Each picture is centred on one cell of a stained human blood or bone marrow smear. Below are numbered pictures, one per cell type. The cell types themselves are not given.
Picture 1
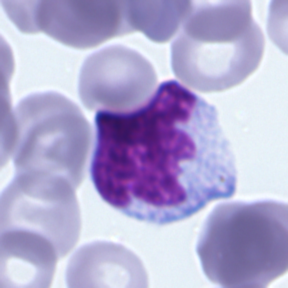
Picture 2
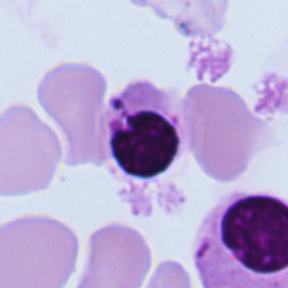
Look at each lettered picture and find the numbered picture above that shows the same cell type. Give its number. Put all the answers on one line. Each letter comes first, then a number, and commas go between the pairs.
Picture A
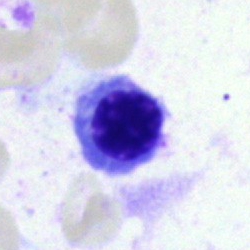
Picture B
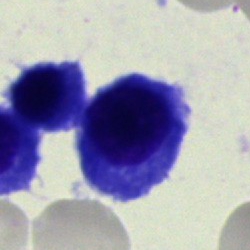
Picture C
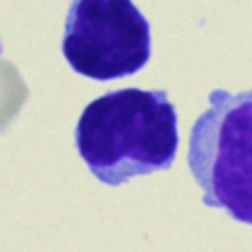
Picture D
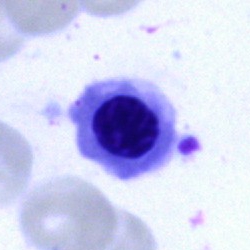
A 2, B 2, C 1, D 2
